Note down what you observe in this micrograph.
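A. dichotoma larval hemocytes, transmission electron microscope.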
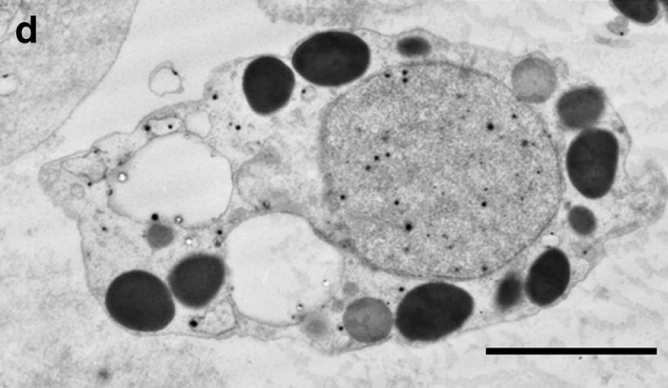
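A large round nucleus with finely granular chromatin sits near the middle, ringed by many big oval electron-dense granules of varying greyness. Several large clear vacuoles lie on one side of the cytoplasm, and the cell outline is irregular.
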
